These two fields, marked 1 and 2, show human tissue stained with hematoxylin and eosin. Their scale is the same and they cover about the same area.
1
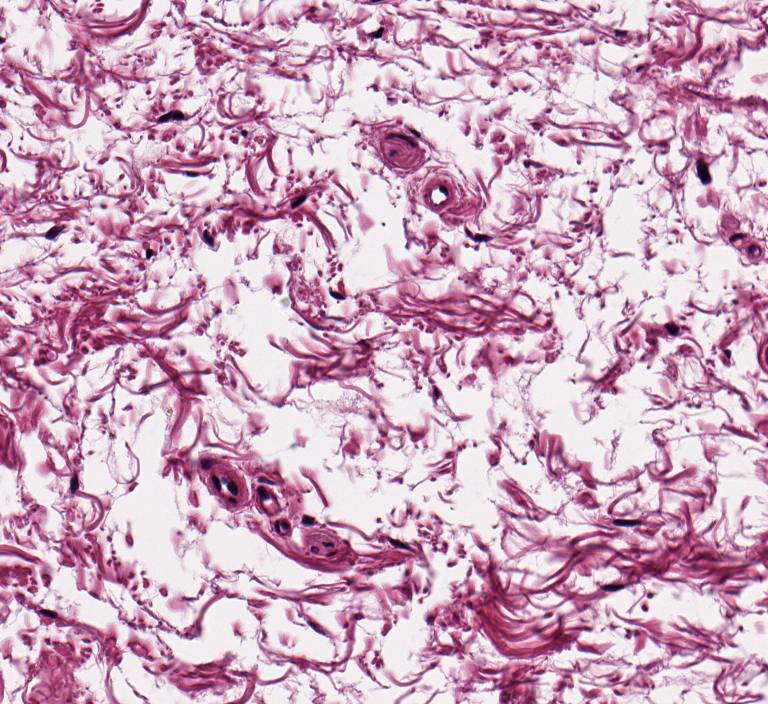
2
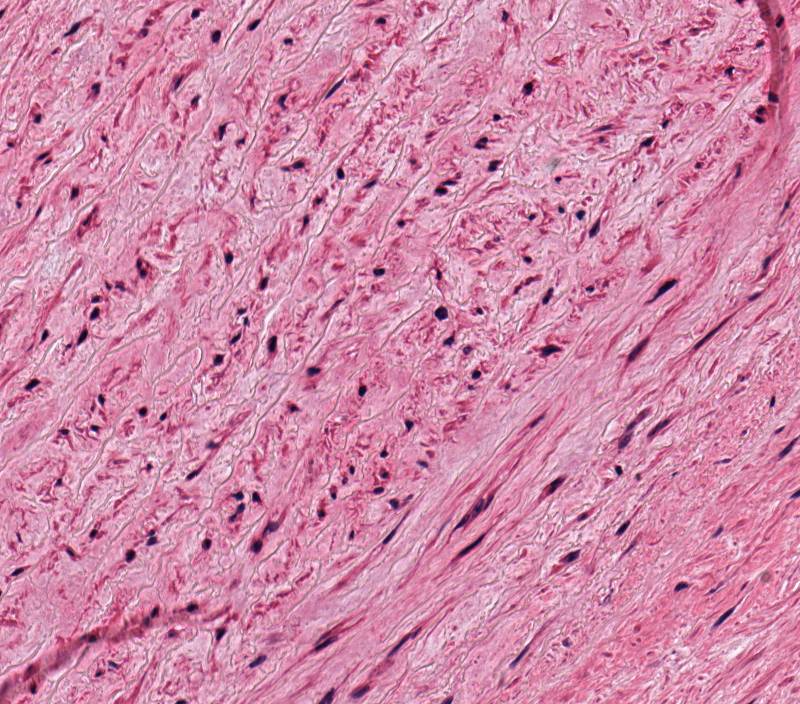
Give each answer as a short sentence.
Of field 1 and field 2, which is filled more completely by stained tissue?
Unstained space takes up less of field 2 than of field 1.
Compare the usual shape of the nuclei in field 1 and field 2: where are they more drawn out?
The nuclei are more elongated in field 1.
